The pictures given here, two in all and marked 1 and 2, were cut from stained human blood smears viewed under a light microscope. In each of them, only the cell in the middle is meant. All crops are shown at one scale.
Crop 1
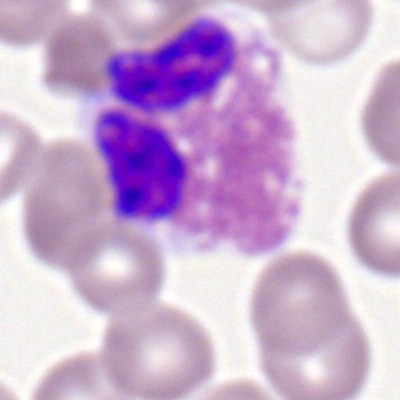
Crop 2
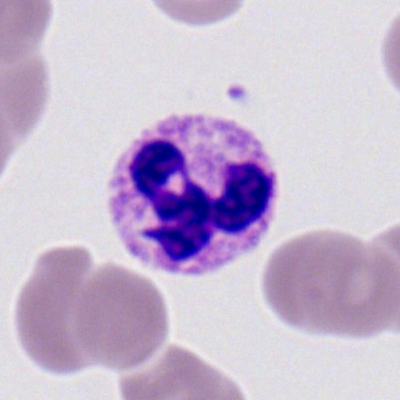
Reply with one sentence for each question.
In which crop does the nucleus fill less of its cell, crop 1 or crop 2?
It is the cell in crop 2 that is filled less by its nucleus.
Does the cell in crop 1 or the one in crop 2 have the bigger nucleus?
Larger is the nucleus in crop 2, at roughly 1.5 times the area of the other.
